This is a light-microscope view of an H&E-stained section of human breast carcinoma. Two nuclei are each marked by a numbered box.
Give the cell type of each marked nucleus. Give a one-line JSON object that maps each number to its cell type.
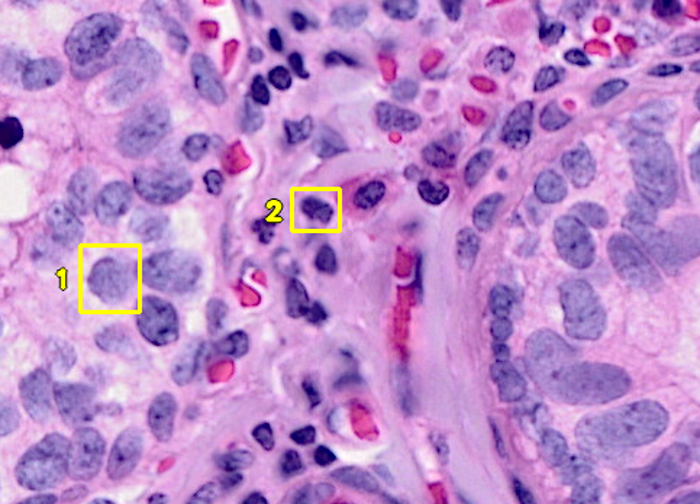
{"1": "carcinoma cell", "2": "lymphocyte"}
